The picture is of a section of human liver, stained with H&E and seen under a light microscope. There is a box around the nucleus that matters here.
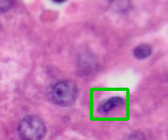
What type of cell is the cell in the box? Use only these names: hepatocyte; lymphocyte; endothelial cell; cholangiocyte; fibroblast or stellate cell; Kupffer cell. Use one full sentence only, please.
In this field of tissue, the cell in the box is an endothelial cell.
